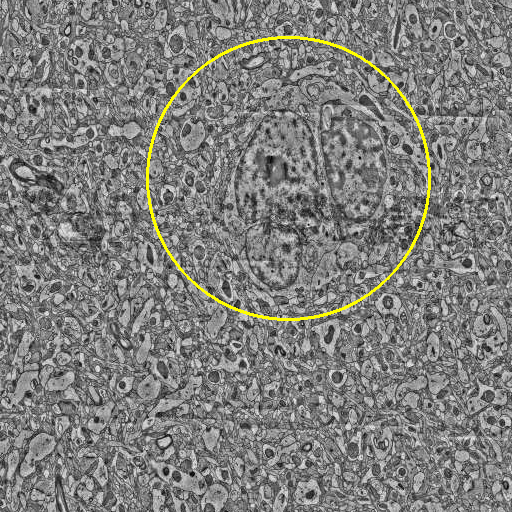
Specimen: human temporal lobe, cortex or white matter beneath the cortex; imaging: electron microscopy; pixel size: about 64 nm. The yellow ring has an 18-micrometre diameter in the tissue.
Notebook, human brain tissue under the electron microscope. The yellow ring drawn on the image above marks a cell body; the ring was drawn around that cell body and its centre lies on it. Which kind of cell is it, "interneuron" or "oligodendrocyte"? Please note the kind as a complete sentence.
The marked cell body is that of an interneuron.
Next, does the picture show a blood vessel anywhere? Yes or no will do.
No.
